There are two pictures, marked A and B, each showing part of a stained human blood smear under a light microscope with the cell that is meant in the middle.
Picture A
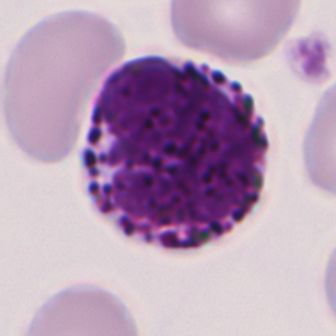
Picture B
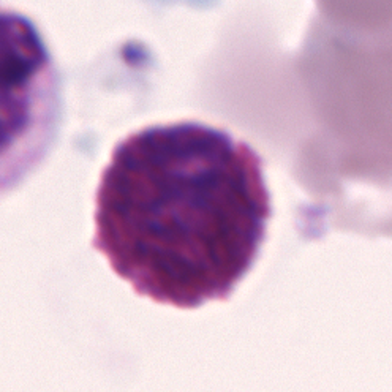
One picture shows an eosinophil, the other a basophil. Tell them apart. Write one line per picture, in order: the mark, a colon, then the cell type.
A: basophil
B: eosinophil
